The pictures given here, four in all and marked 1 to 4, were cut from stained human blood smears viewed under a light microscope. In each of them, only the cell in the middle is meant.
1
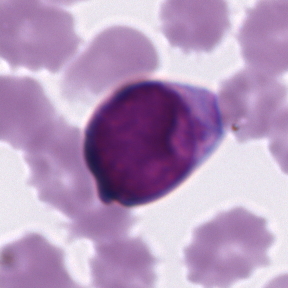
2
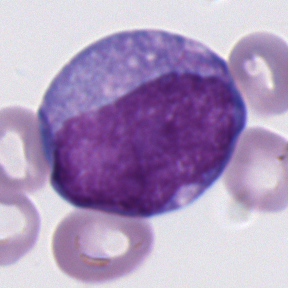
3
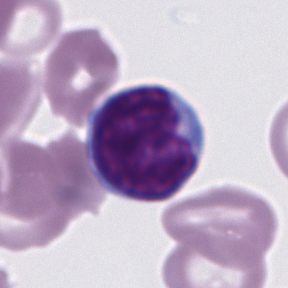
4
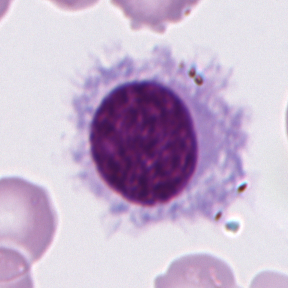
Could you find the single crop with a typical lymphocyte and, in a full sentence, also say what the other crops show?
Crop 3 holds a typical lymphocyte at its centre, while crop 1 is a blast, crop 2 is a promyelocyte and crop 4 is a hairy cell.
